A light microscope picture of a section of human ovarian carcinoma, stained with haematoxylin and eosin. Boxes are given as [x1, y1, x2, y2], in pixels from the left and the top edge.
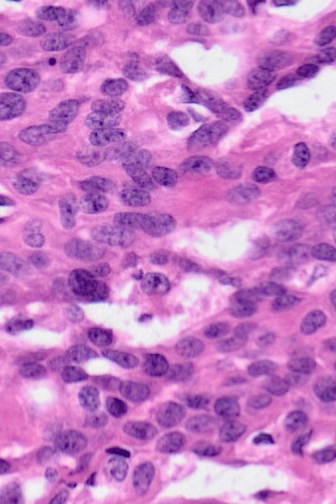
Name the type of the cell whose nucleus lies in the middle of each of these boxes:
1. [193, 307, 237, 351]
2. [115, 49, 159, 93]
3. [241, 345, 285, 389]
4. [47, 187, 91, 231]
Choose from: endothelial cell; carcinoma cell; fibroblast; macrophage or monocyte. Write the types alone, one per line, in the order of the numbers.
carcinoma cell
carcinoma cell
carcinoma cell
macrophage or monocyte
